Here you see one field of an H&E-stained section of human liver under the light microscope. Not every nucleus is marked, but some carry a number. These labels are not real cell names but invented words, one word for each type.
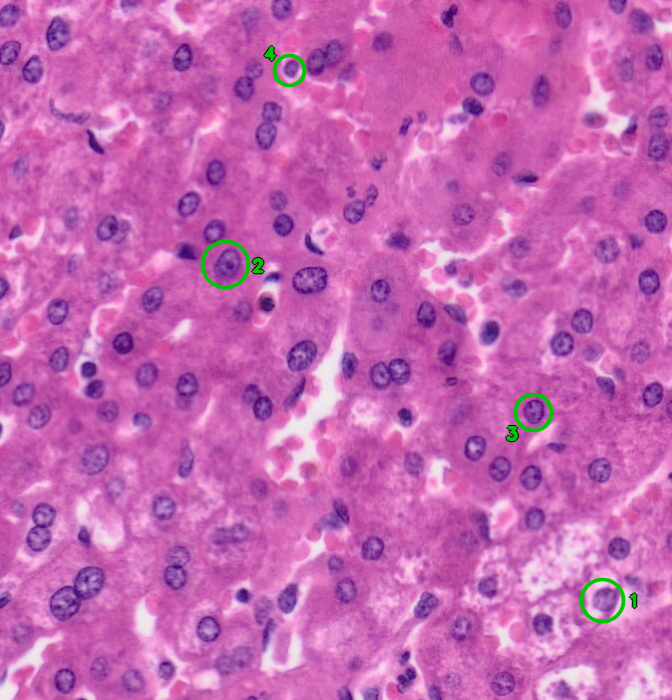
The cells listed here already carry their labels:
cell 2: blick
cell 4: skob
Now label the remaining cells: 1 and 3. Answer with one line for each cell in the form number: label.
1: blick
3: blick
